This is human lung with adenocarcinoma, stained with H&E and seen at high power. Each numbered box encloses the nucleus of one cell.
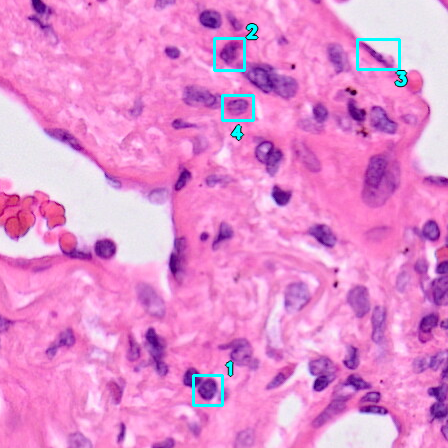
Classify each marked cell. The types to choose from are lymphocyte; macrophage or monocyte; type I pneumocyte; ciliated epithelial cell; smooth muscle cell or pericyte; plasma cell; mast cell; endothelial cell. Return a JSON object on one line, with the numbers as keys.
{"1": "lymphocyte", "2": "plasma cell", "3": "endothelial cell", "4": "mast cell"}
